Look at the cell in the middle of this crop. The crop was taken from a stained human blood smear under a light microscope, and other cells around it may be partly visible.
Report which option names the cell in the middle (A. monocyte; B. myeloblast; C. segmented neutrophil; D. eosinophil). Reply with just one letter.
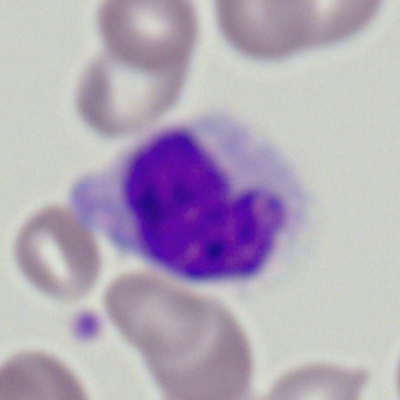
A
